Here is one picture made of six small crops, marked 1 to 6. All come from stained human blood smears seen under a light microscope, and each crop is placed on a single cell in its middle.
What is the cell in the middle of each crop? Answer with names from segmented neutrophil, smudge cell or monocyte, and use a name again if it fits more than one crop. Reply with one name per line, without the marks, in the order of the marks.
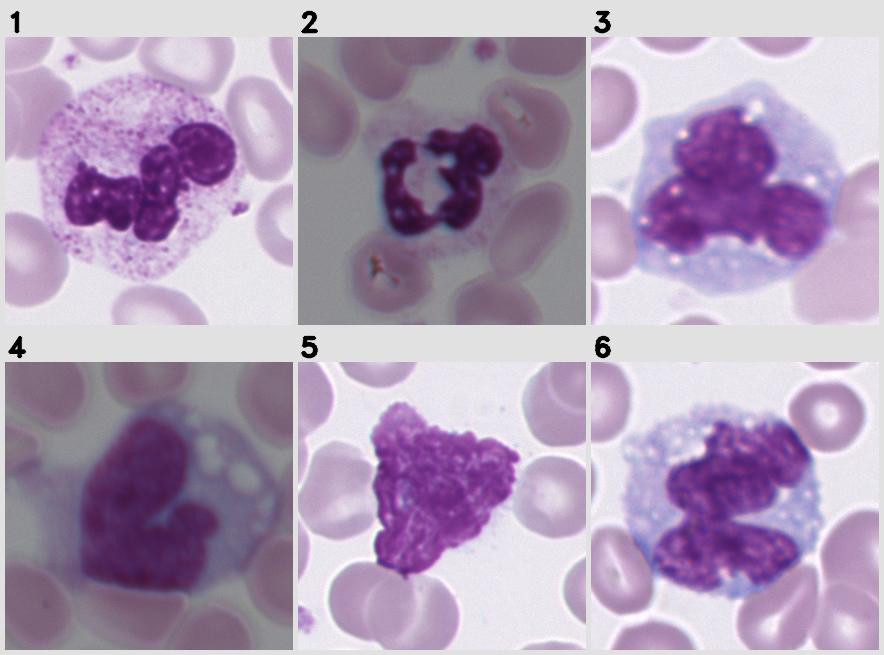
segmented neutrophil
segmented neutrophil
monocyte
monocyte
smudge cell
monocyte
